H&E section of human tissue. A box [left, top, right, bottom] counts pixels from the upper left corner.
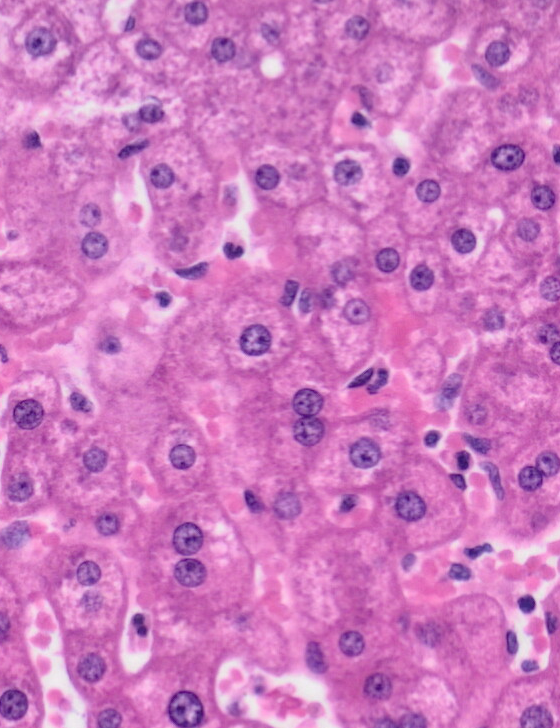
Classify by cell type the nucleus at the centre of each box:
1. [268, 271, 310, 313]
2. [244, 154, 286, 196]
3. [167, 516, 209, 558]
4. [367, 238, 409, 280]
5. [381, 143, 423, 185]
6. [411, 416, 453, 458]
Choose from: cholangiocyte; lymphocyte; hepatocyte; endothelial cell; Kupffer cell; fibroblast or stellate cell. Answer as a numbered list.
1. fibroblast or stellate cell
2. hepatocyte
3. hepatocyte
4. hepatocyte
5. lymphocyte
6. lymphocyte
